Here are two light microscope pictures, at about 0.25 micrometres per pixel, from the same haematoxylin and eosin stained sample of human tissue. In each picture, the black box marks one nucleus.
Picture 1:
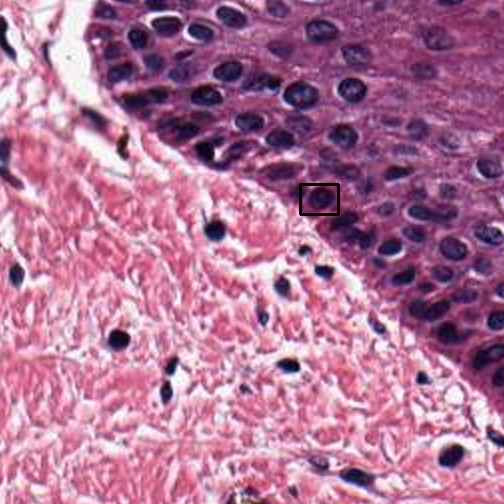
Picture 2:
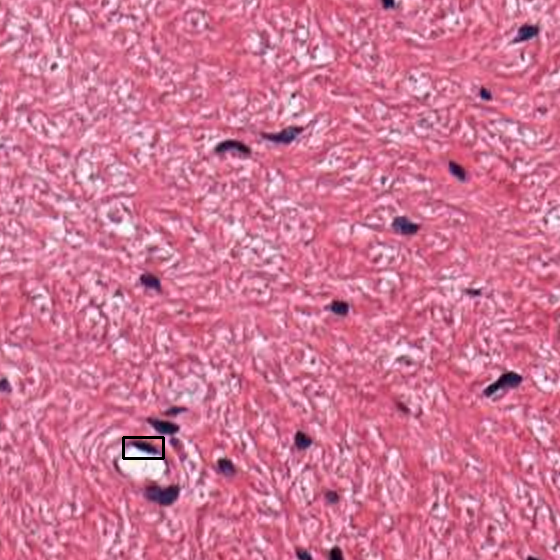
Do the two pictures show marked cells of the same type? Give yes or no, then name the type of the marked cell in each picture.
No, the first is a squamous epithelial cell and the second an endothelial cell.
